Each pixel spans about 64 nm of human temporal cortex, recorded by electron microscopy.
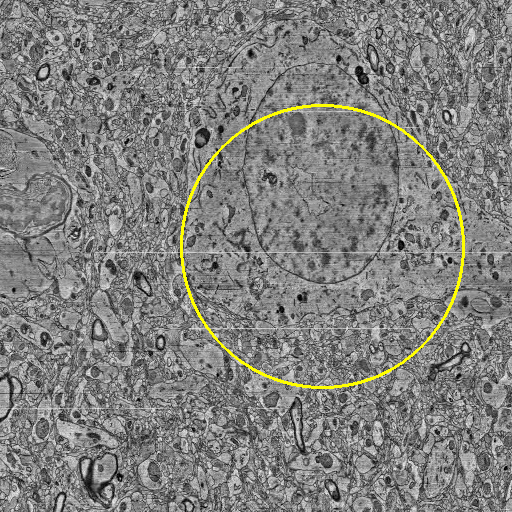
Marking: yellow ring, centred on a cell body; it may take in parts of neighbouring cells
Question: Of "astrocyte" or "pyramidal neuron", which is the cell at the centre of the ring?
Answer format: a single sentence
The ring surrounds the body of a pyramidal neuron.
